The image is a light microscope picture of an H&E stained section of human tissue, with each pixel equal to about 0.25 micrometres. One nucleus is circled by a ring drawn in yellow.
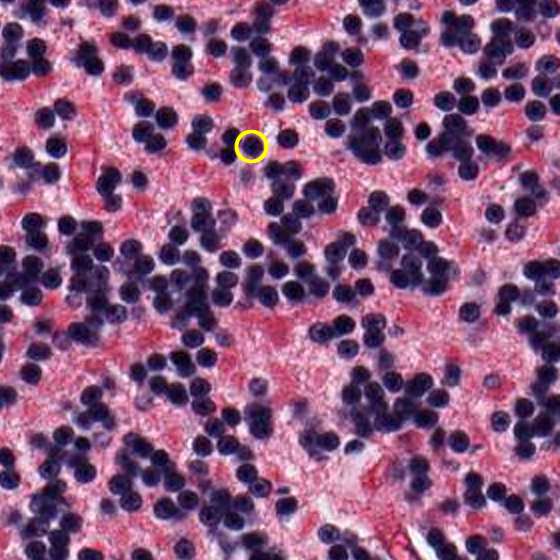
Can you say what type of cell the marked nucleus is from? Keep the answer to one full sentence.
To a cerebellar granule cell belongs the marked nucleus.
